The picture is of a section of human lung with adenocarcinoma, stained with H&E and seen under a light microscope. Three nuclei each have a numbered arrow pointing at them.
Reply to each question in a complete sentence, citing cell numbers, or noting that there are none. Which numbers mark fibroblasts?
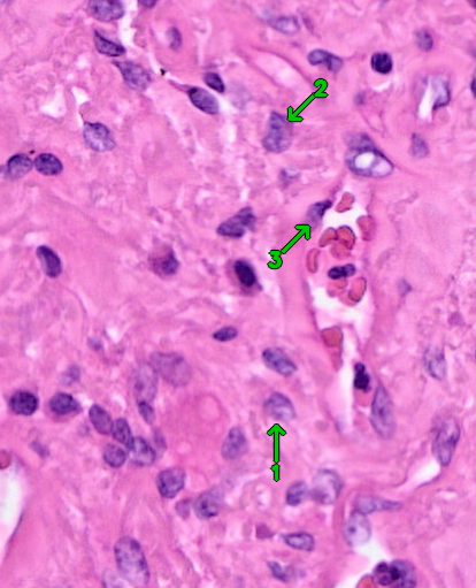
The cells numbered 1 and 2 are of the kind known as fibroblasts.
